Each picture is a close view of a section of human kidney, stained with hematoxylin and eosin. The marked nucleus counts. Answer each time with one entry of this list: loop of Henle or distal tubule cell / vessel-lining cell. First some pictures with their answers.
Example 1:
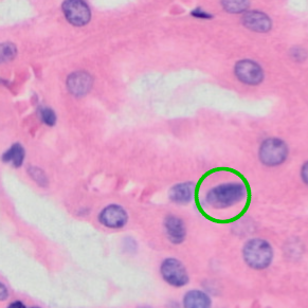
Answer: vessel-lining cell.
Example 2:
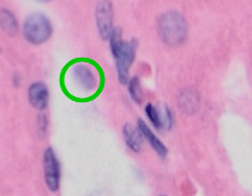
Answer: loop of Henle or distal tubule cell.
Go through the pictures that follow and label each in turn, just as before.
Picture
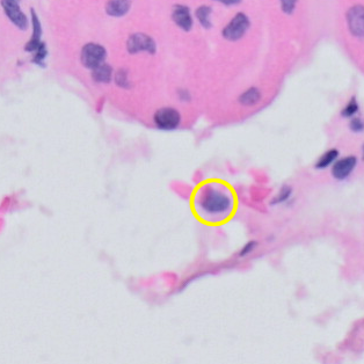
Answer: vessel-lining cell.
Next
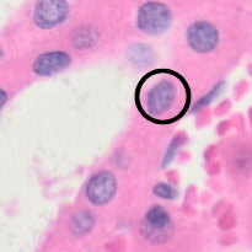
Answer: loop of Henle or distal tubule cell.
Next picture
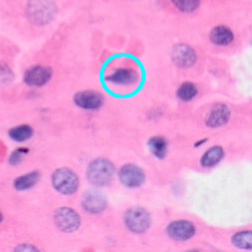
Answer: vessel-lining cell.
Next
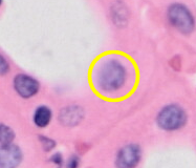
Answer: loop of Henle or distal tubule cell.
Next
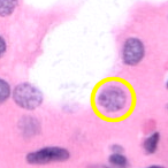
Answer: loop of Henle or distal tubule cell.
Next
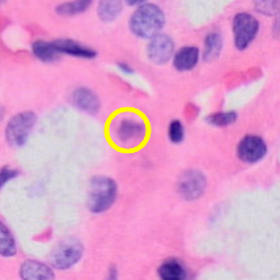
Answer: loop of Henle or distal tubule cell.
